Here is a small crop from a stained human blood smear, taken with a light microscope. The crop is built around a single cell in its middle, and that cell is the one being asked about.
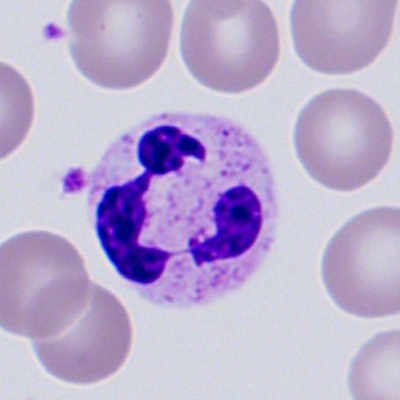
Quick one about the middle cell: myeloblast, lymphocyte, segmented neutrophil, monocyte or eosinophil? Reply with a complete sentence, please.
Within this crop, a segmented neutrophil occupies the central position.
